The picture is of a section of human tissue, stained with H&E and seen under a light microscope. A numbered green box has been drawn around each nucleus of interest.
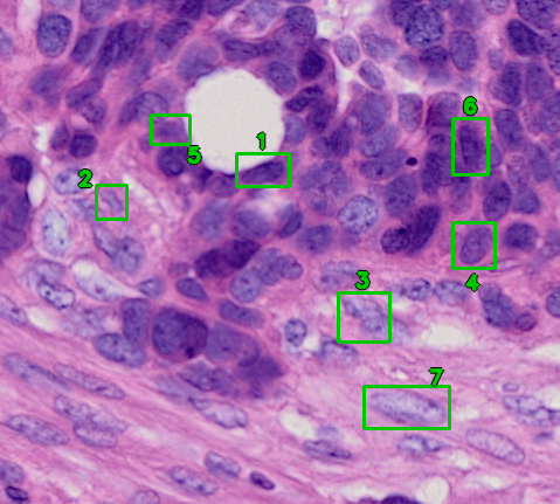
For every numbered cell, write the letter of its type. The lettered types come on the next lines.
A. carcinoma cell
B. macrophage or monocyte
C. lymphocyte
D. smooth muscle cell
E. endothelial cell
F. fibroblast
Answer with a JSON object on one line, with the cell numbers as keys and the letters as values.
{"1": "A", "2": "F", "3": "F", "4": "A", "5": "A", "6": "A", "7": "F"}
